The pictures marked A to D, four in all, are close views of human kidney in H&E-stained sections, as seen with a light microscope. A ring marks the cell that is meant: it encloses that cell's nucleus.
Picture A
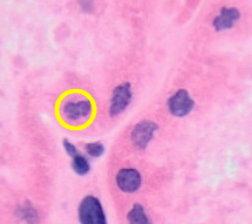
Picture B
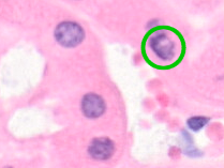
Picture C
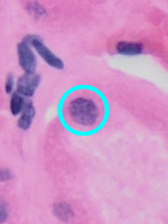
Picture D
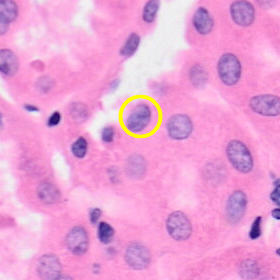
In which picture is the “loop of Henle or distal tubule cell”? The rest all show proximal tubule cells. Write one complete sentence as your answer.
The “loop of Henle or distal tubule cell” is the one in picture D.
